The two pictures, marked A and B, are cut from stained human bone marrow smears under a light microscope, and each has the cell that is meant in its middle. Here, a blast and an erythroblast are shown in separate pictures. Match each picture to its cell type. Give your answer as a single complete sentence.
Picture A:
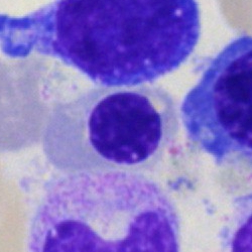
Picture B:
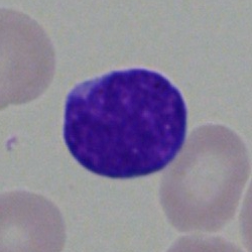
The cell in picture A is an erythroblast, and the one in picture B is a blast.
